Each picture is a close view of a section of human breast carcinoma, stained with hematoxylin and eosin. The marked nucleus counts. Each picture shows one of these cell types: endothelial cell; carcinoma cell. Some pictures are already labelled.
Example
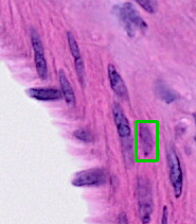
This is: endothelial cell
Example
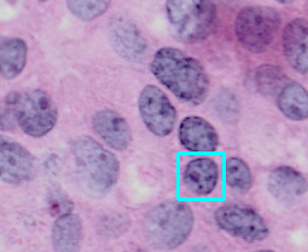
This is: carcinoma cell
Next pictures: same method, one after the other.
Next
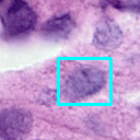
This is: carcinoma cell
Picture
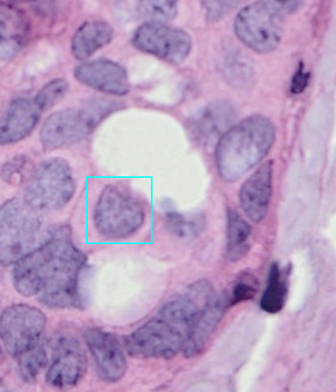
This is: carcinoma cell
